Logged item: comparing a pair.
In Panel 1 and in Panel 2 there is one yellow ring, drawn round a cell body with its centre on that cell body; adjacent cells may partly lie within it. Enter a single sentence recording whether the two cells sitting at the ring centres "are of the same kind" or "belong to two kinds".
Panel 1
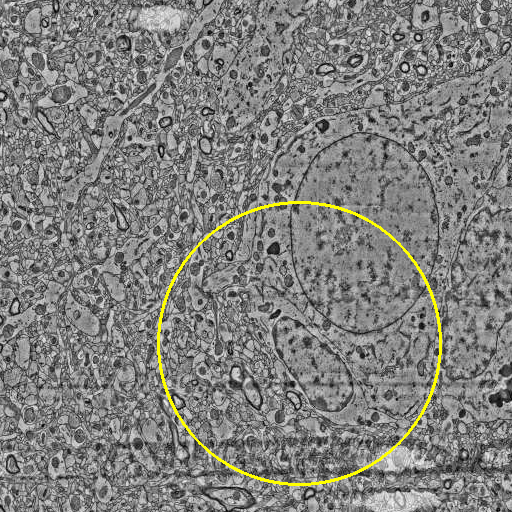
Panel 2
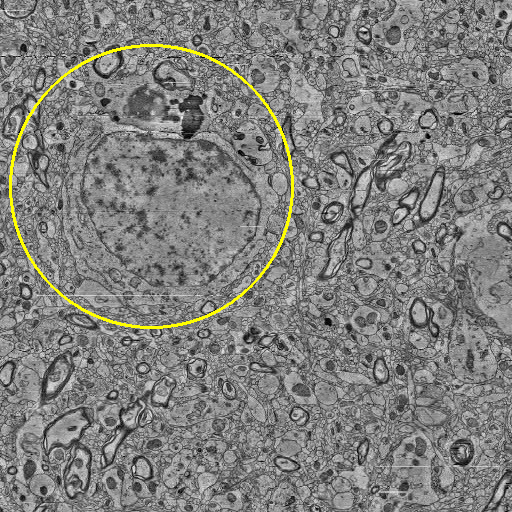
Logged: the cells centred in the rings of Panel 1 and Panel 2 belong to two kinds.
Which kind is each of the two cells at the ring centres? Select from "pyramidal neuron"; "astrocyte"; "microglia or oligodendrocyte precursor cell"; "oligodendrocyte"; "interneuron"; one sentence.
The cell at the centre of the ring is a microglial cell or oligodendrocyte precursor cell in the first picture and an interneuron in the second.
